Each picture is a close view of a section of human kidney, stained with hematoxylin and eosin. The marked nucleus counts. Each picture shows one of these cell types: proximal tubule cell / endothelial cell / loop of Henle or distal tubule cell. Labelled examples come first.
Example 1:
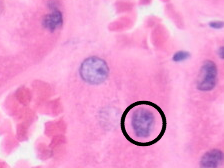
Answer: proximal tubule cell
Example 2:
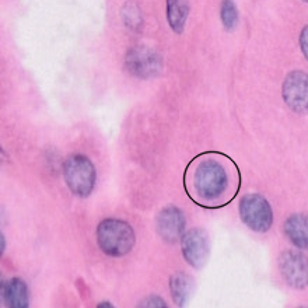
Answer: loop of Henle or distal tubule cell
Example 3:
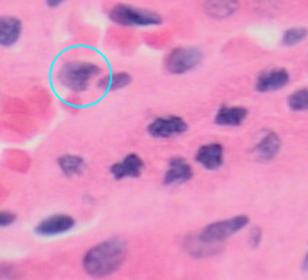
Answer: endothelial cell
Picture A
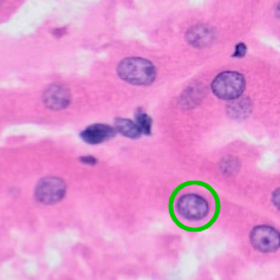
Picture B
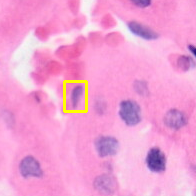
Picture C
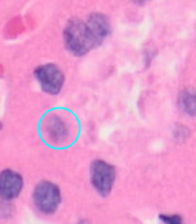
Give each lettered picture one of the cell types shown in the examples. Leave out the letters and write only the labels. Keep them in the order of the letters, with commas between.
proximal tubule cell, endothelial cell, loop of Henle or distal tubule cell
